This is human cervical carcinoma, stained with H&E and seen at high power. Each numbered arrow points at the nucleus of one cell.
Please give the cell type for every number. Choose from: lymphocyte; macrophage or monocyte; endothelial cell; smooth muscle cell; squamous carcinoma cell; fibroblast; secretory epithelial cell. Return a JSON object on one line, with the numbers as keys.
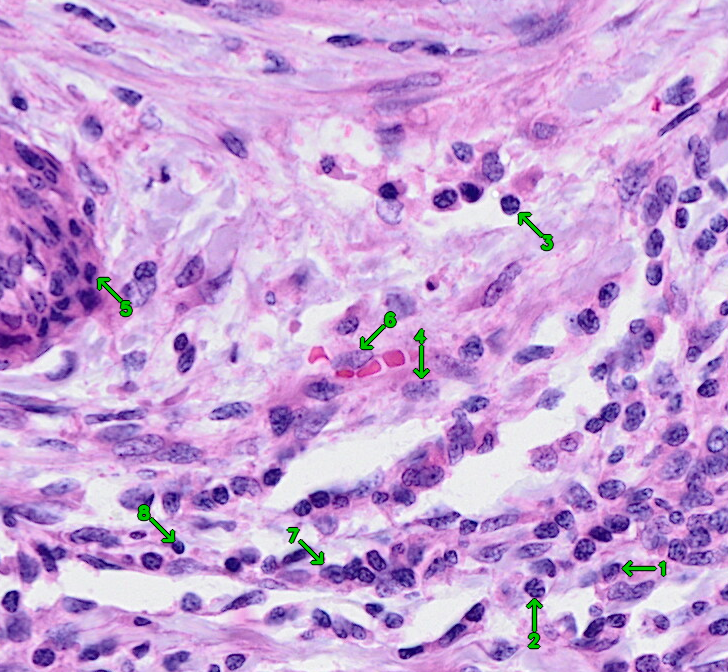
{"1": "lymphocyte", "2": "lymphocyte", "3": "lymphocyte", "4": "endothelial cell", "5": "squamous carcinoma cell", "6": "endothelial cell", "7": "lymphocyte", "8": "lymphocyte"}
